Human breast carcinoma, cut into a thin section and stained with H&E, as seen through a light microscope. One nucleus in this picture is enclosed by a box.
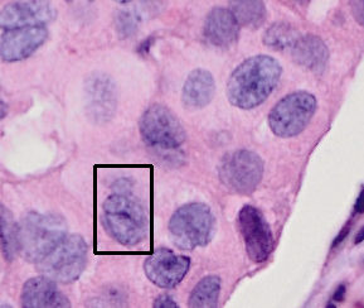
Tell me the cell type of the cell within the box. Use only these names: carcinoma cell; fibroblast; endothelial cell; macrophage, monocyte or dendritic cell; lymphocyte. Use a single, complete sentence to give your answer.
To be brief about it, the cell within the box is a carcinoma cell.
